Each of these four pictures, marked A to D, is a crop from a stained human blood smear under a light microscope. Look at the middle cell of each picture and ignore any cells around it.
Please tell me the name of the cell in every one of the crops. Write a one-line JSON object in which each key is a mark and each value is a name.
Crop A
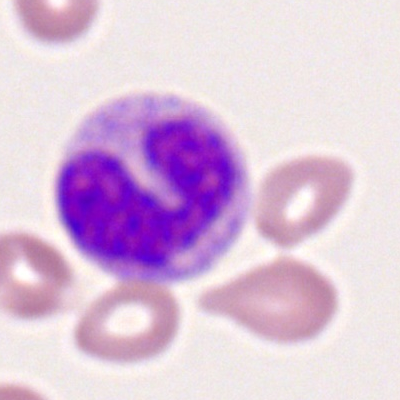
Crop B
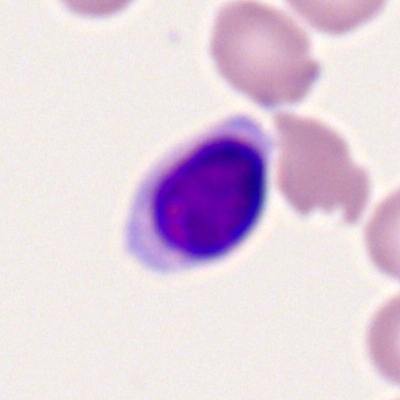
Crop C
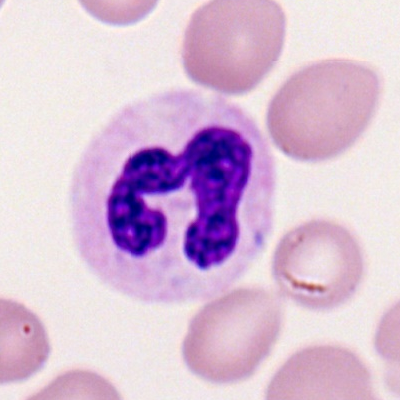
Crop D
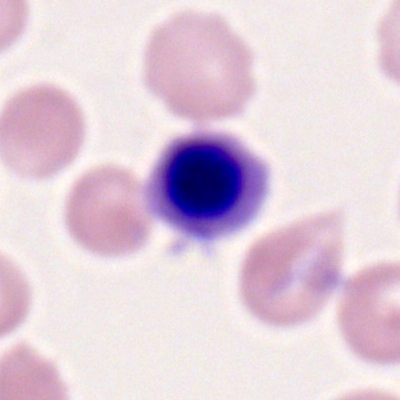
{"A": "band neutrophil", "B": "lymphocyte", "C": "segmented neutrophil", "D": "normoblast"}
